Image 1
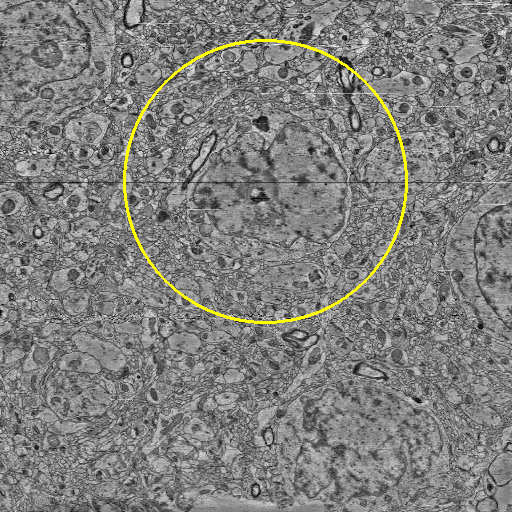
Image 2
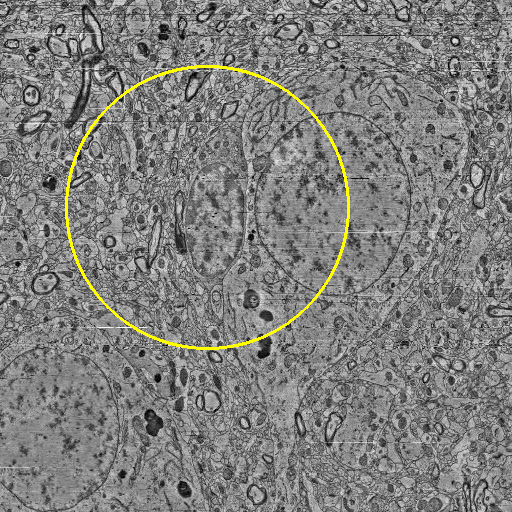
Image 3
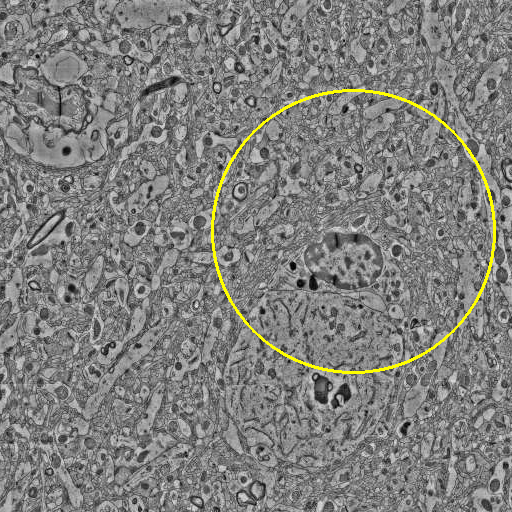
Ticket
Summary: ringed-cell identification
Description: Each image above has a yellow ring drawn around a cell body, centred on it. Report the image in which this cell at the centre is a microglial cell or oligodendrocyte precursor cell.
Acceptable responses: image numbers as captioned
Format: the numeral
3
